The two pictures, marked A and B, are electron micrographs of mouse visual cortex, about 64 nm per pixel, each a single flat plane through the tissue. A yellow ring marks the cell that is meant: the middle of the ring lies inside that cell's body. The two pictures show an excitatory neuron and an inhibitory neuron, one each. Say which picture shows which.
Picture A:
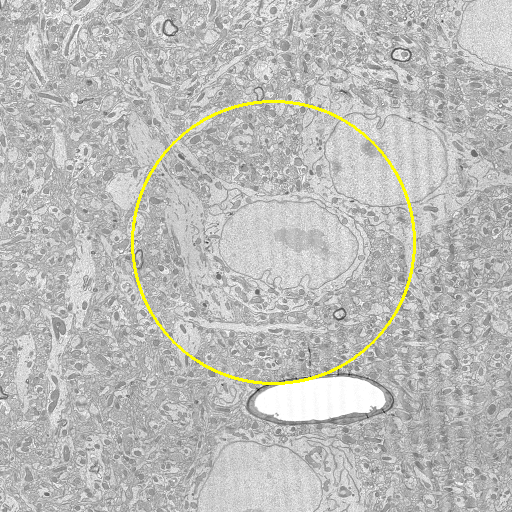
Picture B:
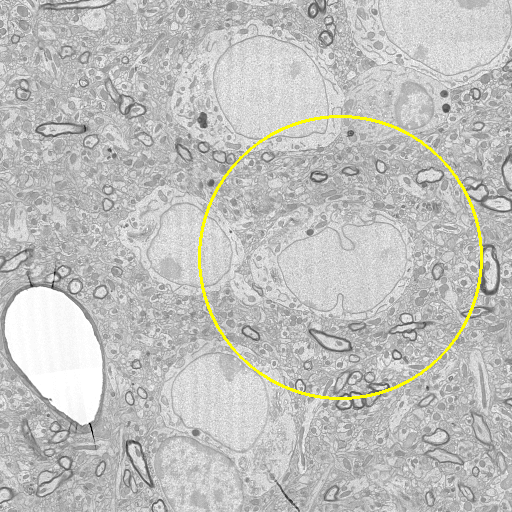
Picture A is of an inhibitory neuron, and picture B is of an excitatory neuron.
